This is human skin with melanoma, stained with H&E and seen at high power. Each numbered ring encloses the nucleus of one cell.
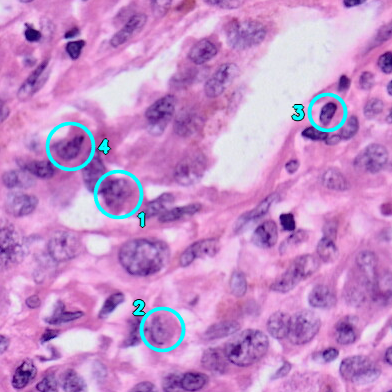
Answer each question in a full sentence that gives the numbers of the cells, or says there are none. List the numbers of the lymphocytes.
Only the cell numbered 3 qualifies as a lymphocyte among the marked cells.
